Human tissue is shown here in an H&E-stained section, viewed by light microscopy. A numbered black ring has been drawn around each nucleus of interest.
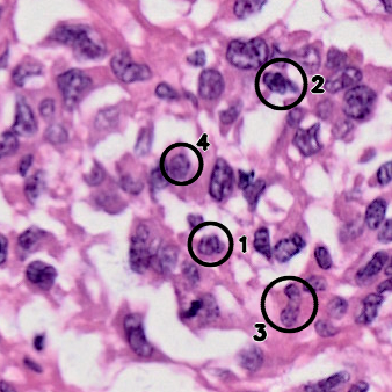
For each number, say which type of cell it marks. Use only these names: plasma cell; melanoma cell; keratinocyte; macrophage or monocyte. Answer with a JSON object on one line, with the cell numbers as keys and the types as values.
{"1": "melanoma cell", "2": "melanoma cell", "3": "macrophage or monocyte", "4": "melanoma cell"}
